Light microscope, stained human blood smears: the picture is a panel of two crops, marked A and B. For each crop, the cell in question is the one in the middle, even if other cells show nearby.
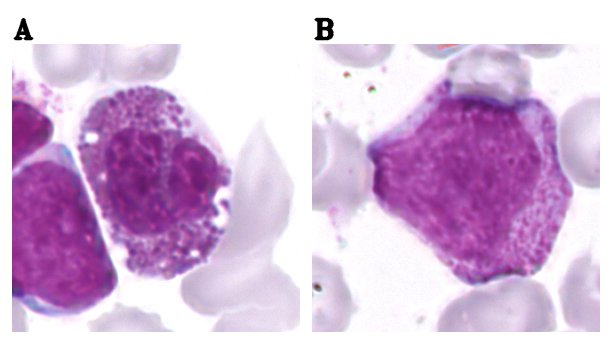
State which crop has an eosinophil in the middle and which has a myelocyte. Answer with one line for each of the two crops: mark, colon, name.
A: eosinophil
B: myelocyte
